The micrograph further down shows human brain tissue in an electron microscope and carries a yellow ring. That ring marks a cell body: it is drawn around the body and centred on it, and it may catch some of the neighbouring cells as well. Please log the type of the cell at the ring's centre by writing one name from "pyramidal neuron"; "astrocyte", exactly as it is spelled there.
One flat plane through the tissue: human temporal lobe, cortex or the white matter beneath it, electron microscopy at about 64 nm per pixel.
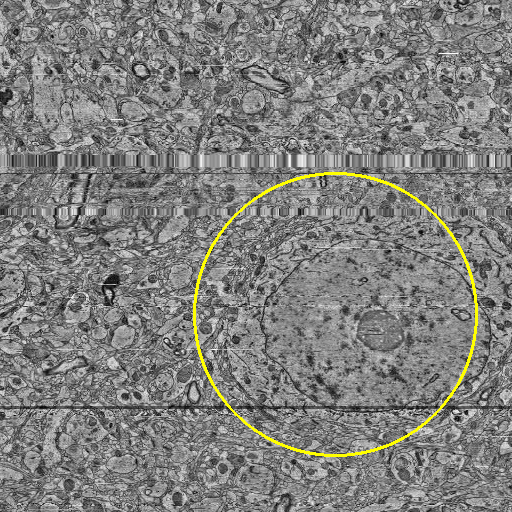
pyramidal neuron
